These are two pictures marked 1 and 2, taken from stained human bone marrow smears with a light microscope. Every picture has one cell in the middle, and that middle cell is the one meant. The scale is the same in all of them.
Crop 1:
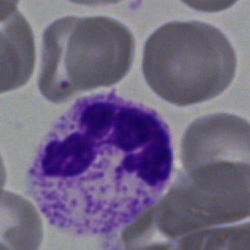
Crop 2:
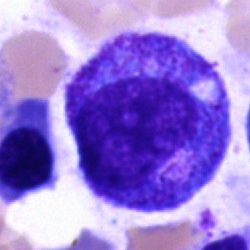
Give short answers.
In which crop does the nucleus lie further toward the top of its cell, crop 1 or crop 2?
1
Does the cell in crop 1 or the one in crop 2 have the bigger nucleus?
2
